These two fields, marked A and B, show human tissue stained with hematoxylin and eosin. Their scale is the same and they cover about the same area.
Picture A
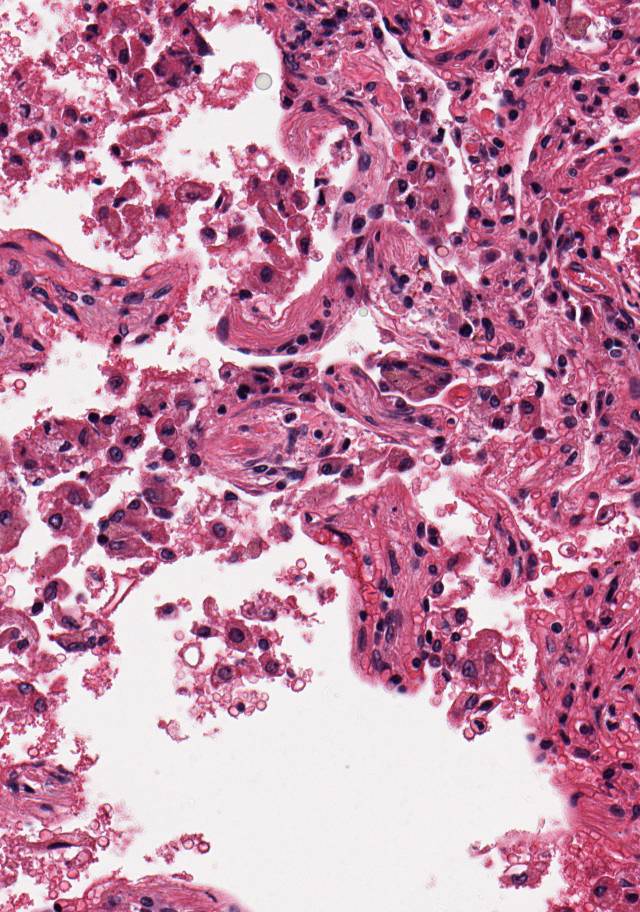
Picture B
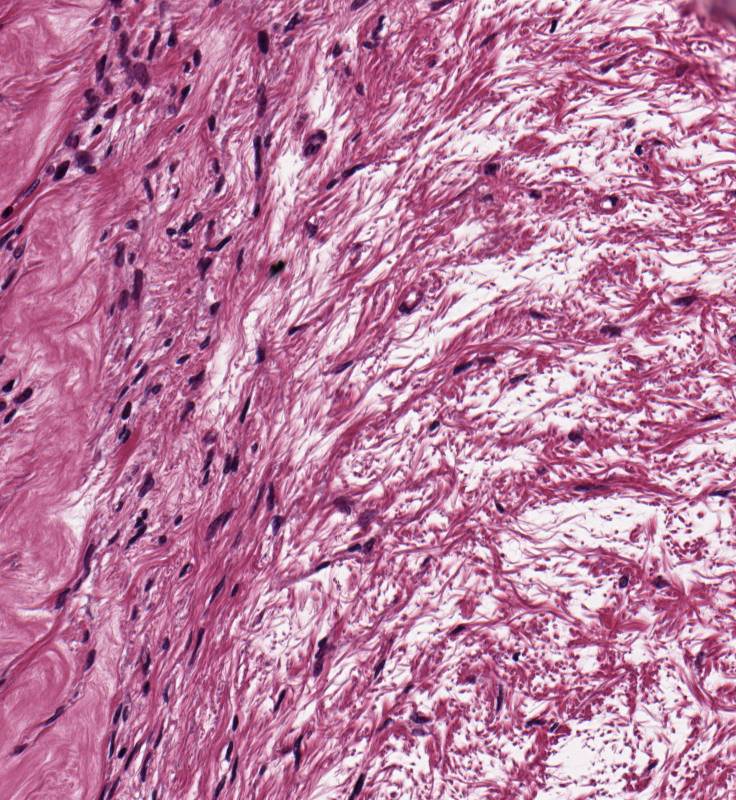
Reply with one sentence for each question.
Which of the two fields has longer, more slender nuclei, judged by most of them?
It is picture B whose nuclei are the more elongated.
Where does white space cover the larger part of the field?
More of picture A is empty and white.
